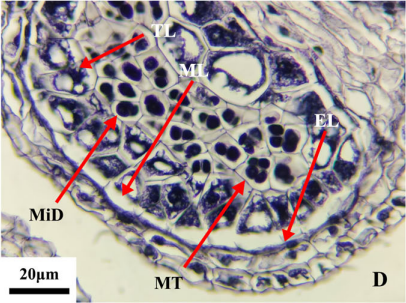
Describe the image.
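A cross-section of an anther locule shows the wall layers surrounding a cluster of microspore dyads and tetrads. The outermost wall is a thin flattened layer, inside which lie an endothecium, a thin middle layer and an inner tapetum layer of larger cells with dense cytoplasm. The central cells are grouped in pairs and fours, each with dark blue-stained nuclei, set within clear walled compartments. The whole section is stained in shades of blue.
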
